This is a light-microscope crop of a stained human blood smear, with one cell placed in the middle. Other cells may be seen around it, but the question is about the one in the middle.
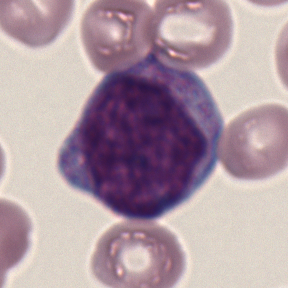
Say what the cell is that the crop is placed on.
atypical promyelocyte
